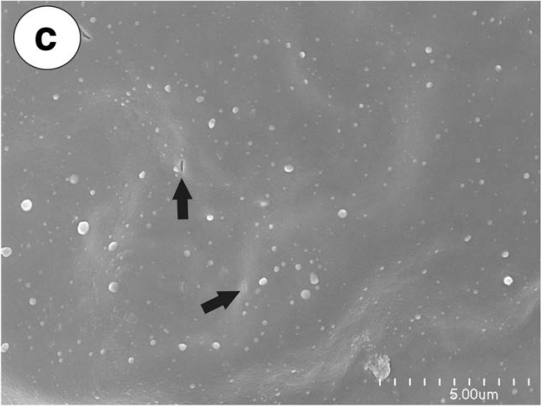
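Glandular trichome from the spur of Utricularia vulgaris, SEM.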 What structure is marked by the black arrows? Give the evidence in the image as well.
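The surface is smooth with scattered small bright dots. The arrows point at small slit-like openings in the surface.
Conclusion: cuticular pores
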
